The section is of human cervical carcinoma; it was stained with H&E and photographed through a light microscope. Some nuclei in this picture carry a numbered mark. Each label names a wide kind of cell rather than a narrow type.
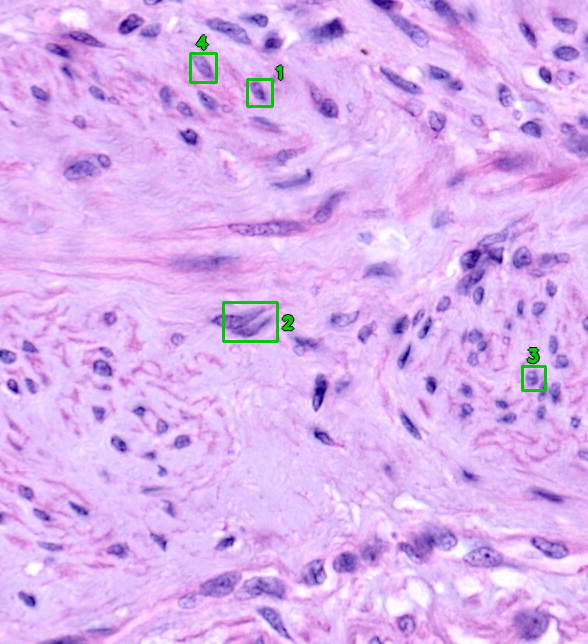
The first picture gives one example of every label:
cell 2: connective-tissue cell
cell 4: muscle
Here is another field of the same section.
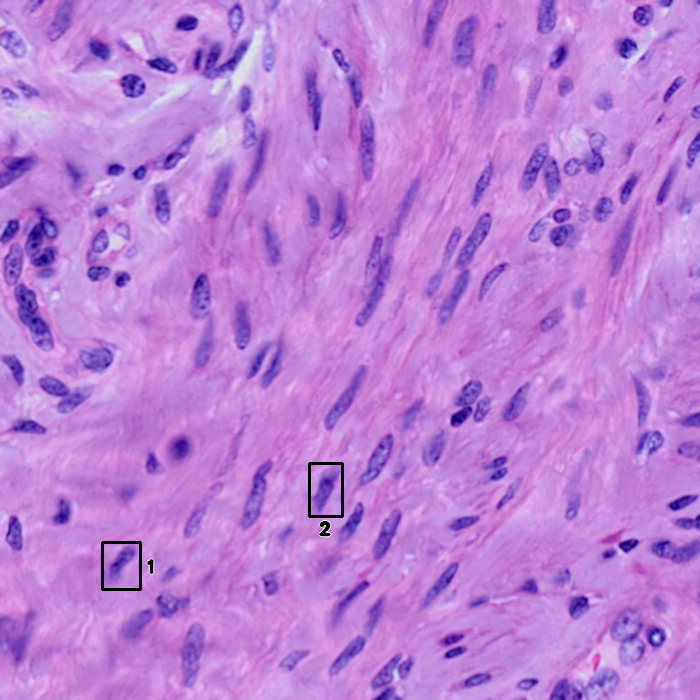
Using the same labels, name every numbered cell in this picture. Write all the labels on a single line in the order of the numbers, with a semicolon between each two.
connective-tissue cell; muscle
